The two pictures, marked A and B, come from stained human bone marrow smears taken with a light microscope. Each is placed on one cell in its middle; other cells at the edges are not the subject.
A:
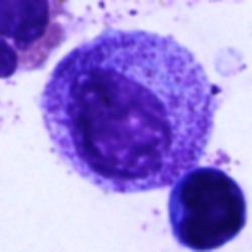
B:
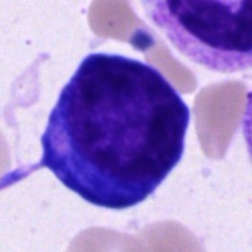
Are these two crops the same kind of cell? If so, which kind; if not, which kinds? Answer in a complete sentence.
No, the cells are a promyelocyte in crop A and a proerythroblast in crop B.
